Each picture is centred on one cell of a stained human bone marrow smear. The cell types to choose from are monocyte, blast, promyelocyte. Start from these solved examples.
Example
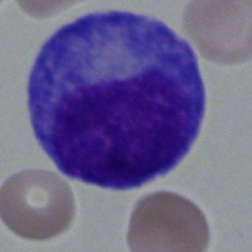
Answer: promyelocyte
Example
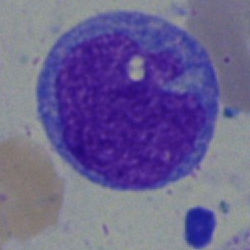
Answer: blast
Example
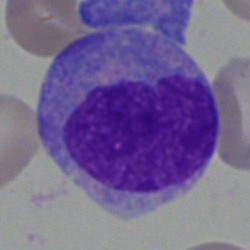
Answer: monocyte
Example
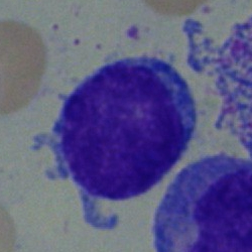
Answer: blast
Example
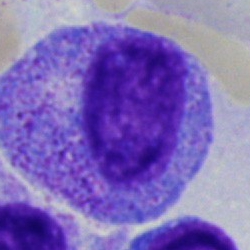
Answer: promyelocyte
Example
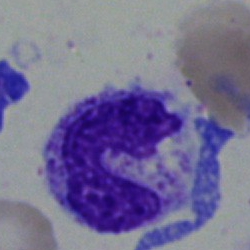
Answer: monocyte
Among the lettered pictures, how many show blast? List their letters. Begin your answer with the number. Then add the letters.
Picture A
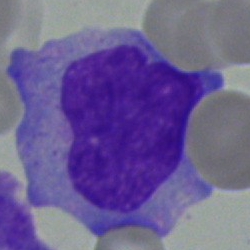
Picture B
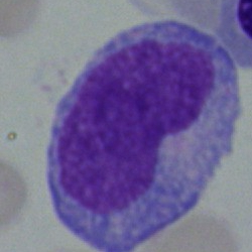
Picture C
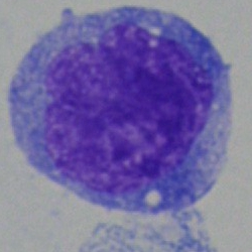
Count: 1 (C)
